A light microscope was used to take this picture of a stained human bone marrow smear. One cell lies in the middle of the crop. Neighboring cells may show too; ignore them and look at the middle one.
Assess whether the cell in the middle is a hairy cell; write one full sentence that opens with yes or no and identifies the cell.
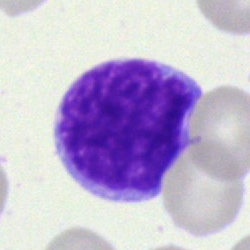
No, rather than a hairy cell, the central cell is a blast.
